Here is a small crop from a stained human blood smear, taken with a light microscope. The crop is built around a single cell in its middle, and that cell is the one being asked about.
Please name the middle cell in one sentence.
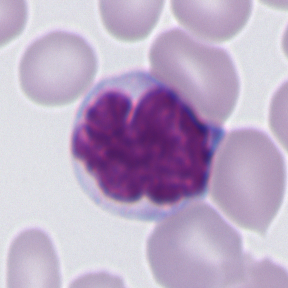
The central cell shown in this smear crop is a large granular lymphocyte.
